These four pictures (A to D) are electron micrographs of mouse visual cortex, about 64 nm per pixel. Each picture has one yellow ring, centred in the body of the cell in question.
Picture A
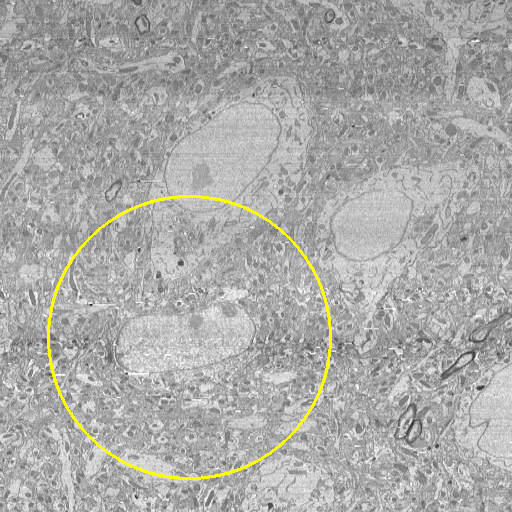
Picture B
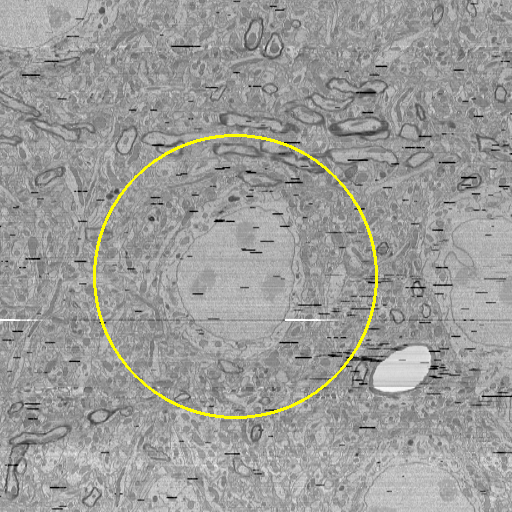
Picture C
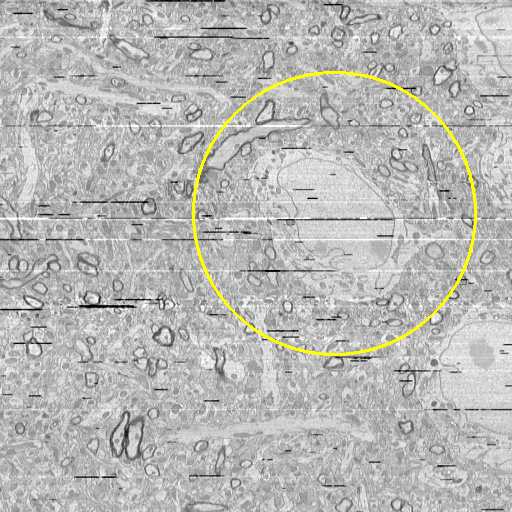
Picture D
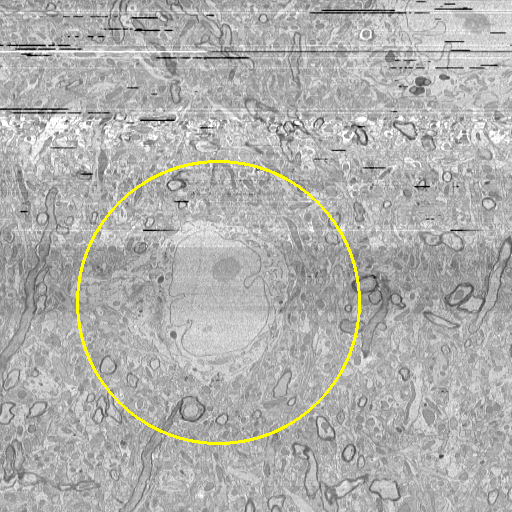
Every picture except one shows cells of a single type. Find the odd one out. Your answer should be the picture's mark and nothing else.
A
